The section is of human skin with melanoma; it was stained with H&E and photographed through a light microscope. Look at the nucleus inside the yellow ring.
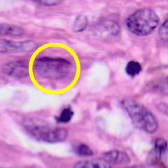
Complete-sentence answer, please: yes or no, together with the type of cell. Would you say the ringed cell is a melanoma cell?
Yes, within this tissue section, the ringed cell is a melanoma cell.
